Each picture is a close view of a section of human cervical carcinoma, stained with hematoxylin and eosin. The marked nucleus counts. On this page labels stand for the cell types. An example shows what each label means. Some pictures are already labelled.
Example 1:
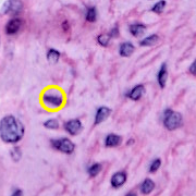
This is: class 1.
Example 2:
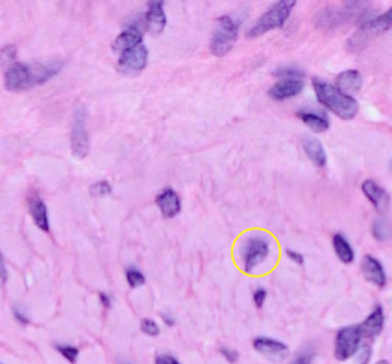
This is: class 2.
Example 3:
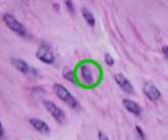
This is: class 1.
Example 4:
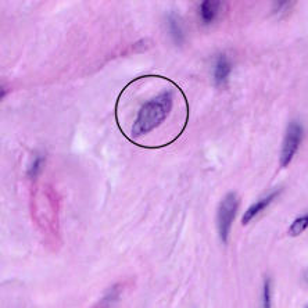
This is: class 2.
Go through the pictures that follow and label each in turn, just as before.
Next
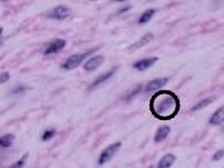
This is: class 1.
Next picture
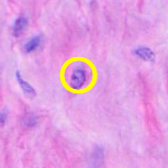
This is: class 1.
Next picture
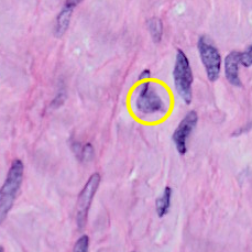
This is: class 2.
